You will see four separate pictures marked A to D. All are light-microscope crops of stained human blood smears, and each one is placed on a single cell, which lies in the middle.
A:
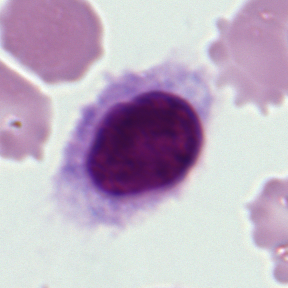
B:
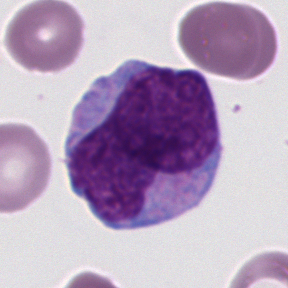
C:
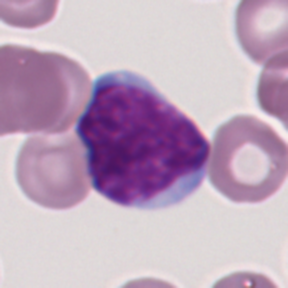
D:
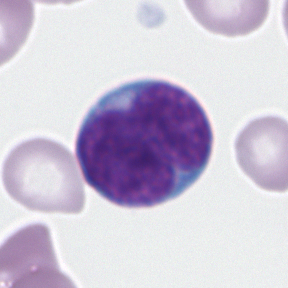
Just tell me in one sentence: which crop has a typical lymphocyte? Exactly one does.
The one crop in the set with a typical lymphocyte is crop C.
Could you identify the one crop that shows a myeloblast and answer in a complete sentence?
Of the labeled crops, the one with a myeloblast is crop D.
